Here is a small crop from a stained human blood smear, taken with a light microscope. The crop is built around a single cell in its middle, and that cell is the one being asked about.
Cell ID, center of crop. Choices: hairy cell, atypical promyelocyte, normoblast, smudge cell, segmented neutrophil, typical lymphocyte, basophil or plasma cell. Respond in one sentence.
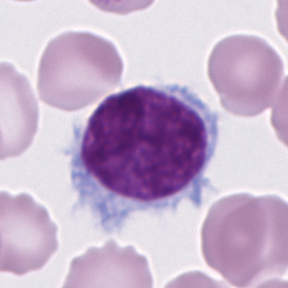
On this slide crop, the central cell is a hairy cell.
